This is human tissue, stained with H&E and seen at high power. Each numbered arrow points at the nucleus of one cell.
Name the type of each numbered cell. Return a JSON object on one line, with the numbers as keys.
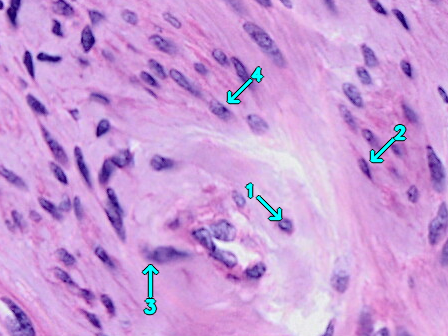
{"1": "smooth muscle cell", "2": "smooth muscle cell", "3": "fibroblast", "4": "smooth muscle cell"}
